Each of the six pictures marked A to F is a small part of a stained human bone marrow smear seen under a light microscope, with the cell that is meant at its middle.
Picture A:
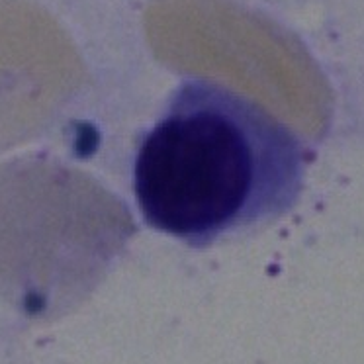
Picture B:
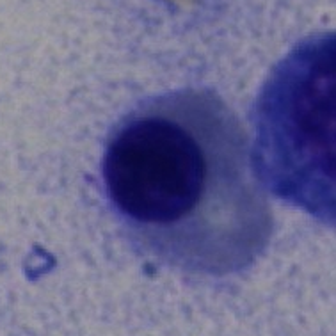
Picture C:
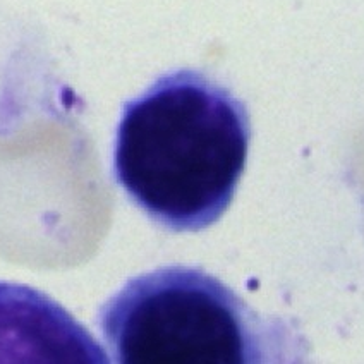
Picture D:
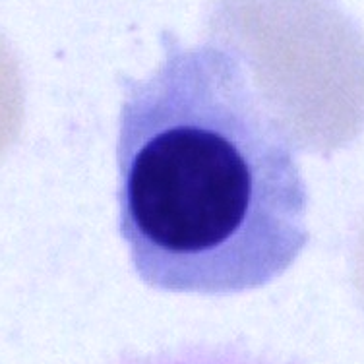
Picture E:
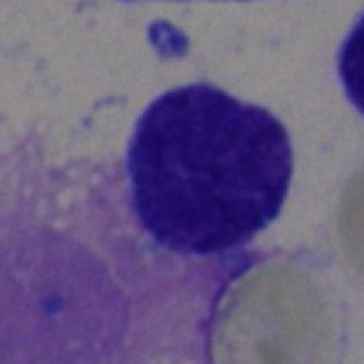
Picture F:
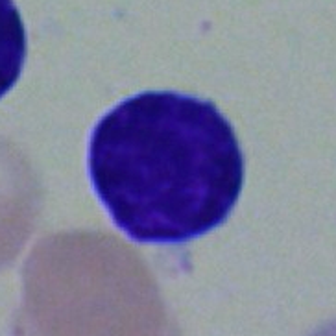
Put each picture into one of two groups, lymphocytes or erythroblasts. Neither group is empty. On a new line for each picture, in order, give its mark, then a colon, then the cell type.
A: erythroblast
B: erythroblast
C: lymphocyte
D: erythroblast
E: lymphocyte
F: lymphocyte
